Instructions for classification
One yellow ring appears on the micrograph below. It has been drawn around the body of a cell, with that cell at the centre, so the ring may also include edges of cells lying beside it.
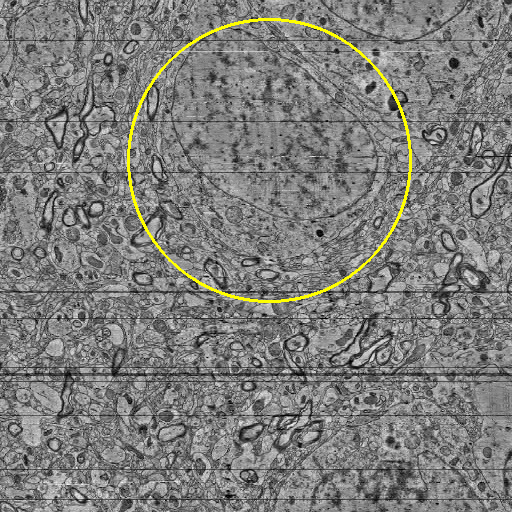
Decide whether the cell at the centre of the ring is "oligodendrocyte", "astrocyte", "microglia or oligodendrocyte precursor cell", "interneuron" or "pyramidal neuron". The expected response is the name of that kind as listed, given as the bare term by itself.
pyramidal neuron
